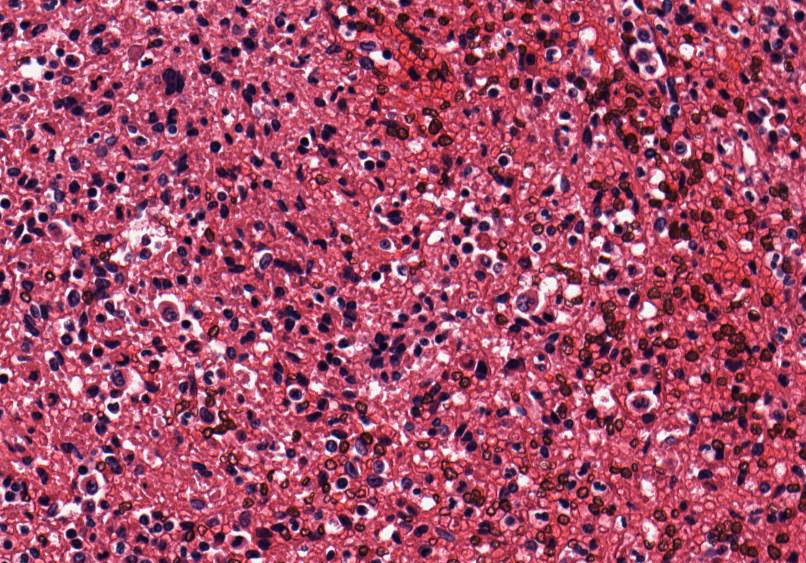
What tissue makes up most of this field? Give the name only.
red pulp of the spleen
